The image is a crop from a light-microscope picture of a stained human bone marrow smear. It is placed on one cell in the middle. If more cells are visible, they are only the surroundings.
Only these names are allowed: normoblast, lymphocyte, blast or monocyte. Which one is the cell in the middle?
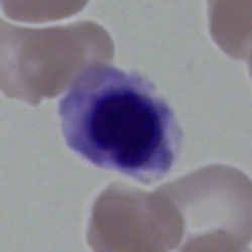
normoblast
